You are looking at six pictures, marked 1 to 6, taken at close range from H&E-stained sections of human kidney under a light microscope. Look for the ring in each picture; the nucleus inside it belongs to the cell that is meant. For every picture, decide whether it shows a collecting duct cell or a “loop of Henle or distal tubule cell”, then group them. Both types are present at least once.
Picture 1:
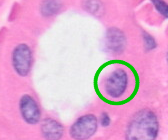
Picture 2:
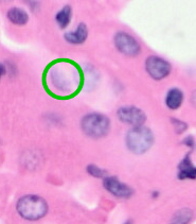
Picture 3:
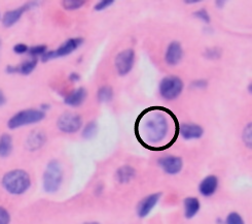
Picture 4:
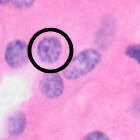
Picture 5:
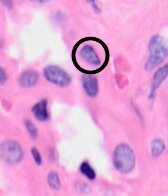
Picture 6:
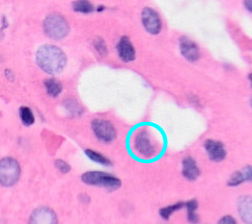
1: loop of Henle or distal tubule cell
2: collecting duct cell
3: loop of Henle or distal tubule cell
4: collecting duct cell
5: collecting duct cell
6: loop of Henle or distal tubule cell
